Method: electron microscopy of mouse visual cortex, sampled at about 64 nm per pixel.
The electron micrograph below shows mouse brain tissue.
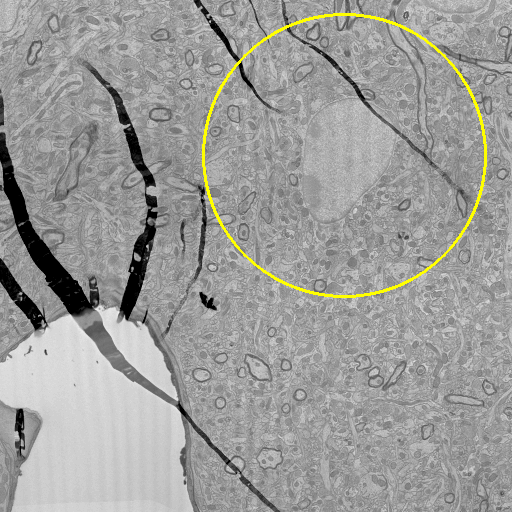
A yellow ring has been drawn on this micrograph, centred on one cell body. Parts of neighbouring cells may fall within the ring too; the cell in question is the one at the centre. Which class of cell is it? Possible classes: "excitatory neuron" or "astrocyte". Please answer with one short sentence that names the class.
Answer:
In the centre of the ring sits an astrocyte.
